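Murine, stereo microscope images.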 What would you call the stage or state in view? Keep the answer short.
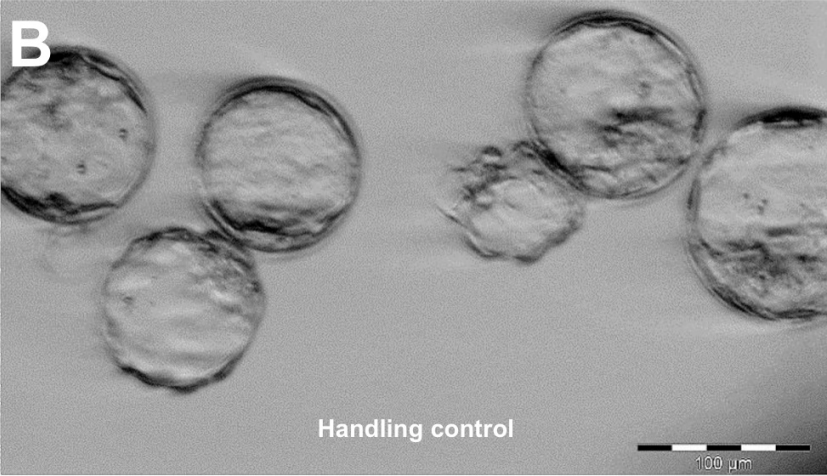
Blastocysts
